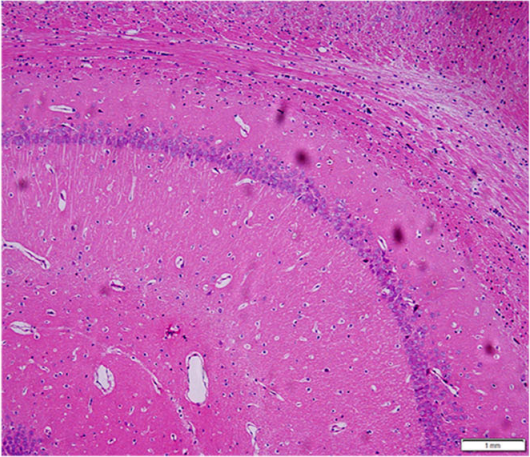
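This low-power section of the hippocampus shows the pyramidal neuron layer as a thin, curved band of purple-stained cell bodies. Wide areas of pink neuropil with scattered small nuclei and open blood vessels lie on either side. At the upper right, more cellular tissue with streaming, fibre-like pink strands borders the field.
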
